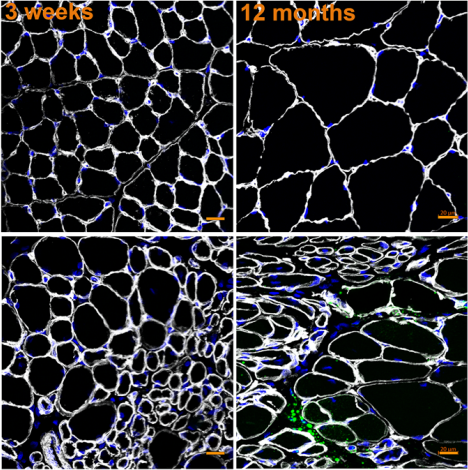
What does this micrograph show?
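Four fluorescent cross-sections of skeletal muscle show dark fibre profiles, each outlined by a white ring, with blue nuclei along the outlines. In the upper images the fibres are polygonal and evenly packed, with few nuclei between them. In the lower images the fibres vary widely in size and many are small and rounded, with more nuclei crowded between them. In the lower right image the spaces between fibres are widened.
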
